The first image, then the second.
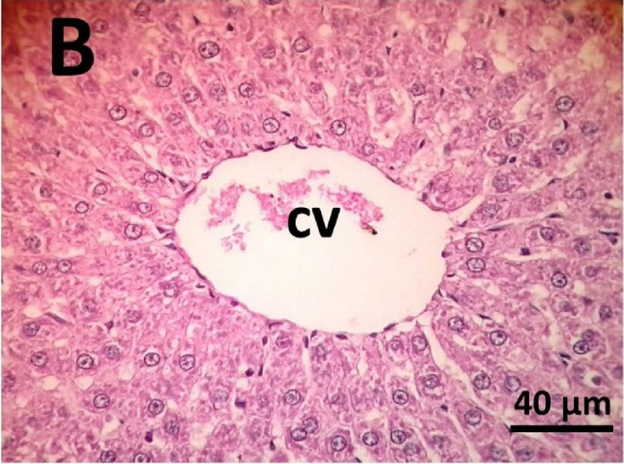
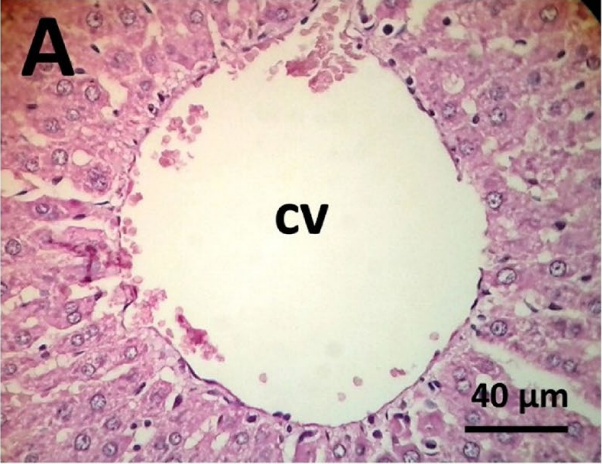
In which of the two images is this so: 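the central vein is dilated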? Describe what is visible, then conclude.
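First image: the central vein is a modest oval lumen surrounded by hepatocyte cords. Second image: the central vein is a very wide open lumen filling much of the field. On this evidence: the second image.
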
